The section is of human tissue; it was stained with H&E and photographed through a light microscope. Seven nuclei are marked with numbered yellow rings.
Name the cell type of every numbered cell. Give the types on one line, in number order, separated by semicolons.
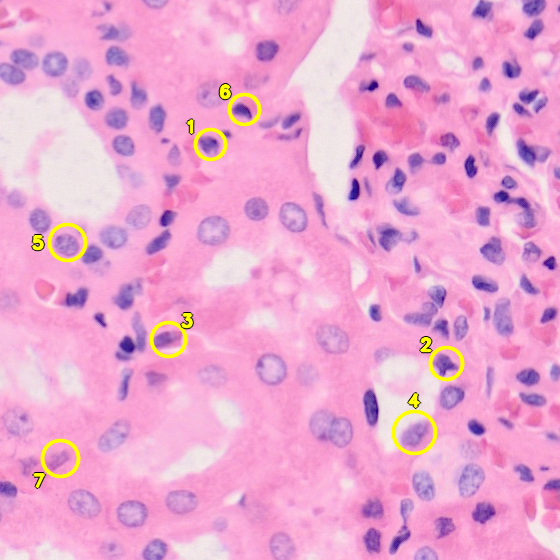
endothelial cell; loop of Henle or distal tubule cell; endothelial cell; loop of Henle or distal tubule cell; collecting duct cell; endothelial cell; proximal tubule cell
